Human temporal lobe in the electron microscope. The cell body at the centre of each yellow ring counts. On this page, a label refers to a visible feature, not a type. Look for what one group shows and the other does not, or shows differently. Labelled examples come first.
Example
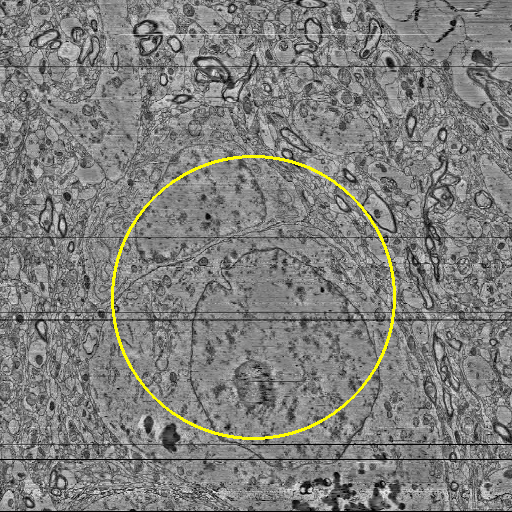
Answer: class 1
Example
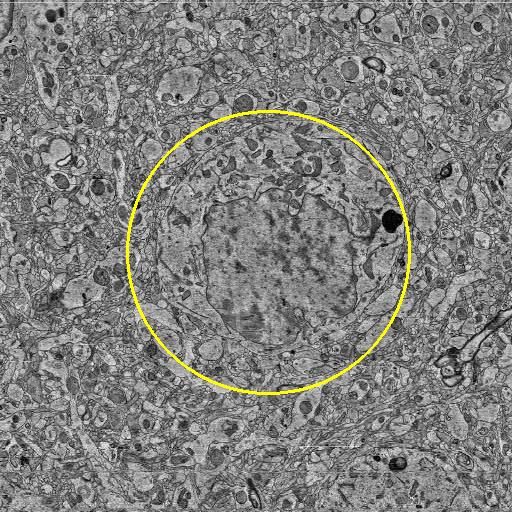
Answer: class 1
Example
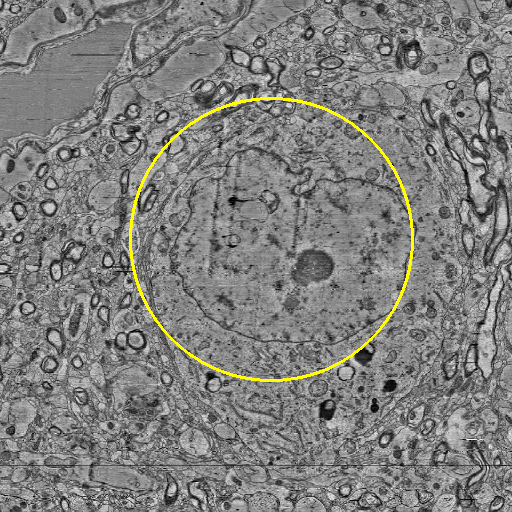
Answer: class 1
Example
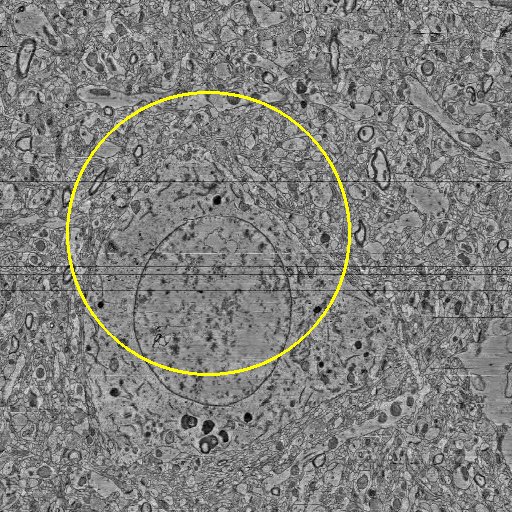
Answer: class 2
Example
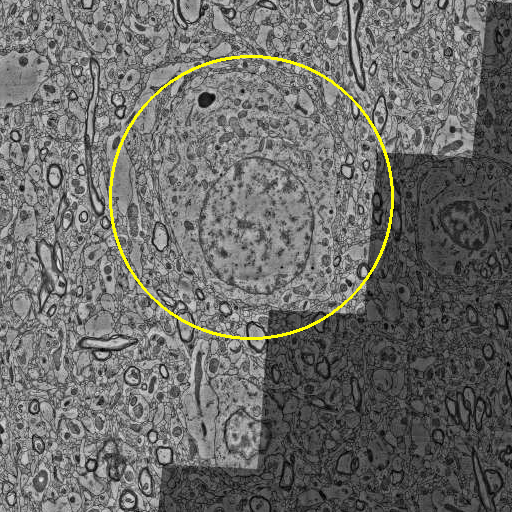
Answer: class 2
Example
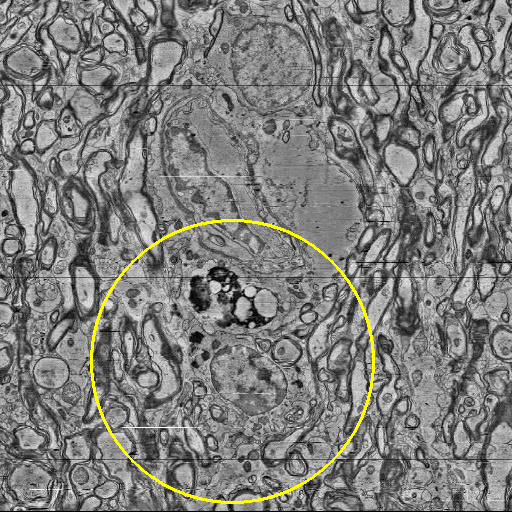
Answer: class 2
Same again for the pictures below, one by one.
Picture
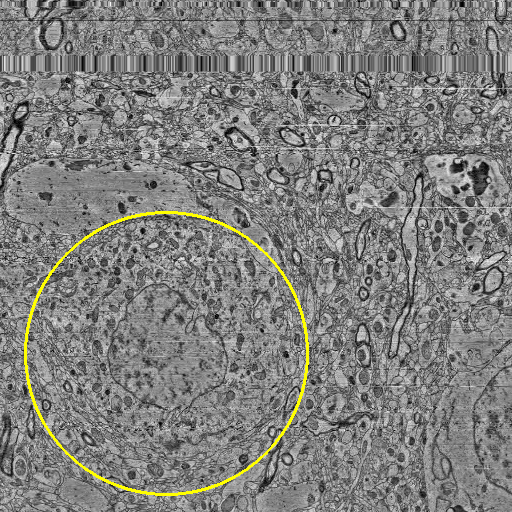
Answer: class 1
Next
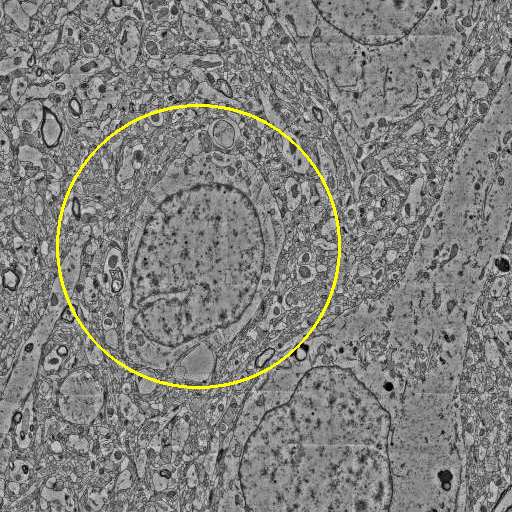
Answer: class 1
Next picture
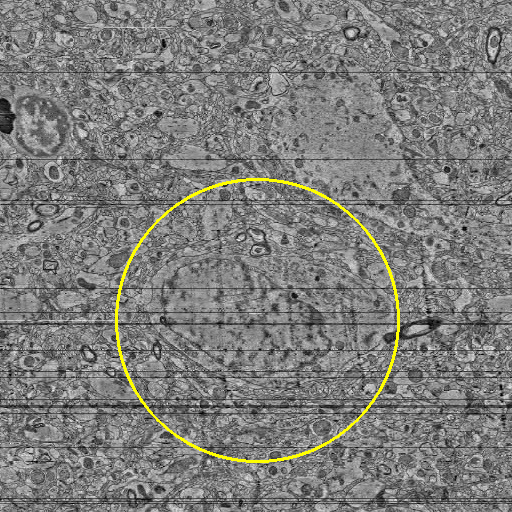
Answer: class 2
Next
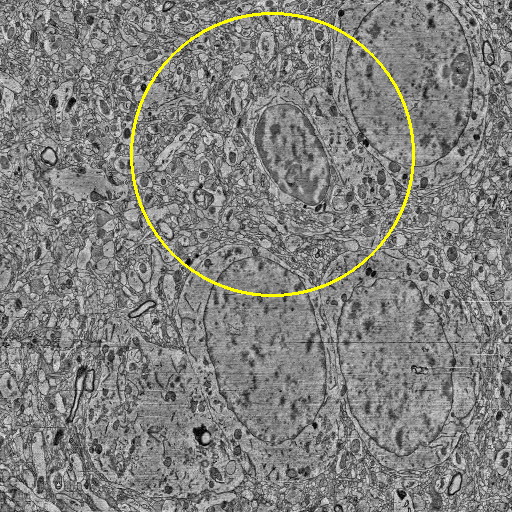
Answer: class 2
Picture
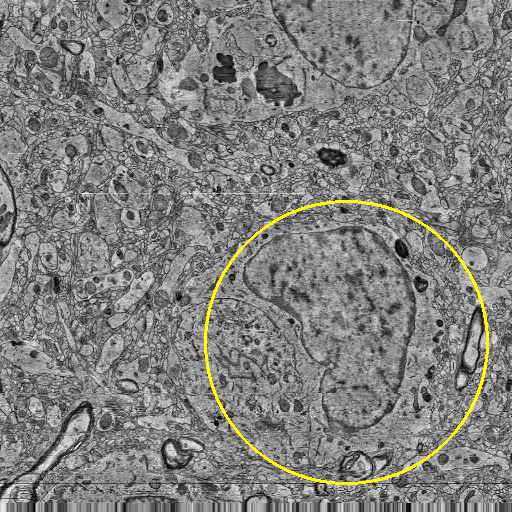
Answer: class 1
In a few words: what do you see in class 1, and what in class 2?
class 1, deeply folded or indented nuclear envelopes; class 2, smooth nuclear envelopes without deep folds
